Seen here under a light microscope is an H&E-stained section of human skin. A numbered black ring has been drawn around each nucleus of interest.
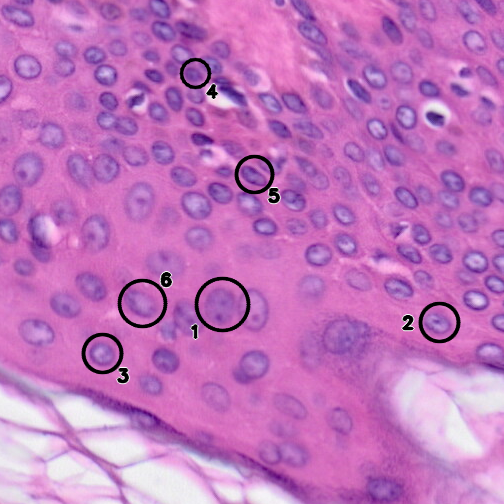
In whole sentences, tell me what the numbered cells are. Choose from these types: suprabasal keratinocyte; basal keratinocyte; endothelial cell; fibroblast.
Cell 1 is a suprabasal keratinocyte, cell 2 is a suprabasal keratinocyte, cell 3 is a suprabasal keratinocyte, cell 4 is a basal keratinocyte, cell 5 is a basal keratinocyte and cell 6 is a suprabasal keratinocyte.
